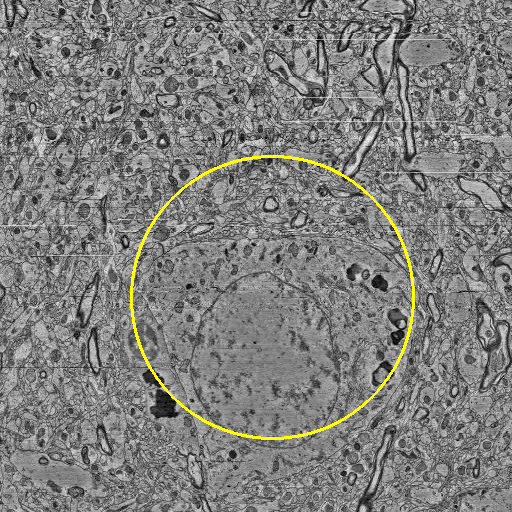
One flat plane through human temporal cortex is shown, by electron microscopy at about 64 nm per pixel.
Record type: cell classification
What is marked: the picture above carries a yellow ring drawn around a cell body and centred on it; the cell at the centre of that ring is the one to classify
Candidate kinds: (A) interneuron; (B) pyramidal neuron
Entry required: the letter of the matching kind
B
